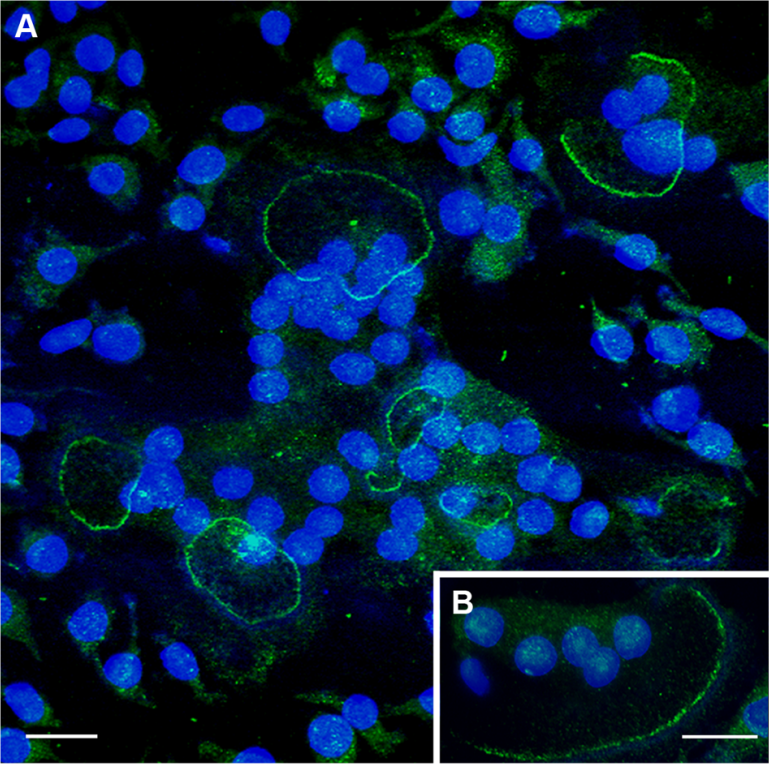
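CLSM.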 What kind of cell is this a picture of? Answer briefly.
Osteoclasts.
